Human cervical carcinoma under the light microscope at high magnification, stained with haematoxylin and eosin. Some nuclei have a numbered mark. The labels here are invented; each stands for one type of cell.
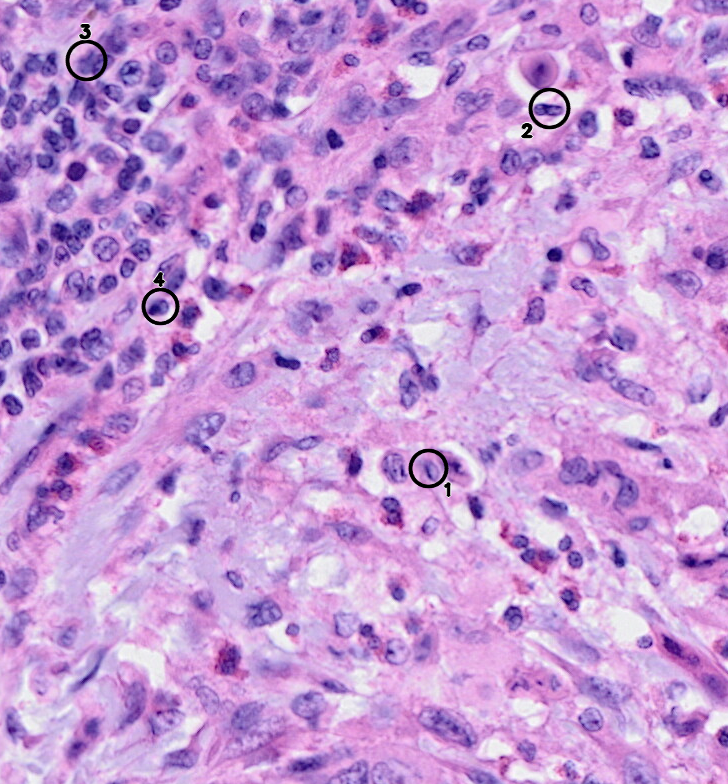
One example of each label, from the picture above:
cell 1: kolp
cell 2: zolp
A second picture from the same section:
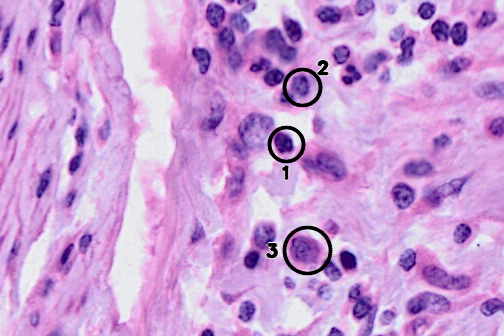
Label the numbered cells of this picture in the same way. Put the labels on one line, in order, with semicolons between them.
zolp; zolp; kolp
